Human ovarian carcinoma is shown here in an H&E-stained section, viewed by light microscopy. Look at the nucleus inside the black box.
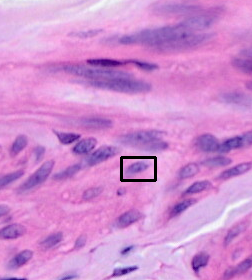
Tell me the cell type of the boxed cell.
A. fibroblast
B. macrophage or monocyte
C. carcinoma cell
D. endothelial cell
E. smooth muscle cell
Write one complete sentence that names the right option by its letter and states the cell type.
Option E is the right one; the boxed cell is a smooth muscle cell.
